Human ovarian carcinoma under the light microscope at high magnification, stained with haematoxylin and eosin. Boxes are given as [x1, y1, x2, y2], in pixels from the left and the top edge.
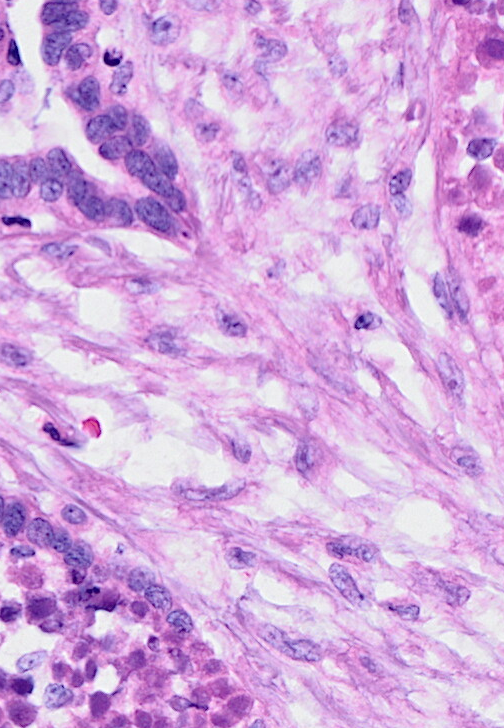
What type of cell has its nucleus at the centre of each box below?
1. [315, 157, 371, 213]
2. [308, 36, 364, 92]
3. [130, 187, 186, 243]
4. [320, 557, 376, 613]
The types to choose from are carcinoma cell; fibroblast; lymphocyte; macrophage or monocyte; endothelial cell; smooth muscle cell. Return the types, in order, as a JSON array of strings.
["fibroblast", "fibroblast", "carcinoma cell", "fibroblast"]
